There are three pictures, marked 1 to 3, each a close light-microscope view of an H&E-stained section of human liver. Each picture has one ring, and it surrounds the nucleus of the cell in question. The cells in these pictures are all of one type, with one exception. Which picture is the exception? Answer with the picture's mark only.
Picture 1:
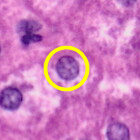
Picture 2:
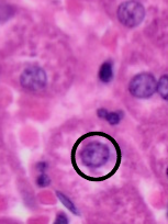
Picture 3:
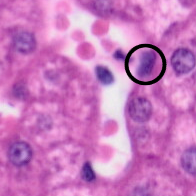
3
